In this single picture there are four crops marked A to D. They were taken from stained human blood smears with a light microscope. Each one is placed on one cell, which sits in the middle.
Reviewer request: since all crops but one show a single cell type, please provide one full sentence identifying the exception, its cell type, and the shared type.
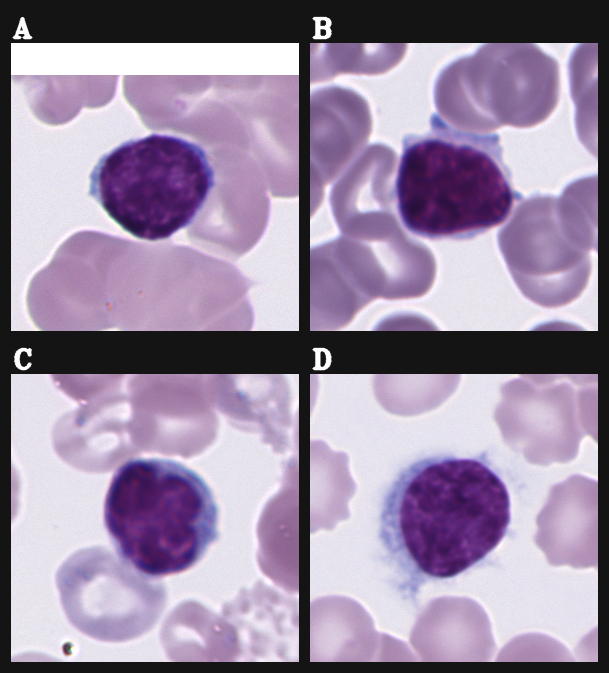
The crop that differs is D, which is a hairy cell; the rest are typical lymphocytes.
